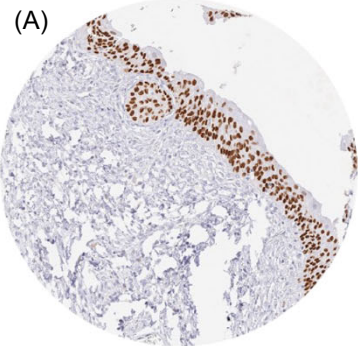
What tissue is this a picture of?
Normal urothelium.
